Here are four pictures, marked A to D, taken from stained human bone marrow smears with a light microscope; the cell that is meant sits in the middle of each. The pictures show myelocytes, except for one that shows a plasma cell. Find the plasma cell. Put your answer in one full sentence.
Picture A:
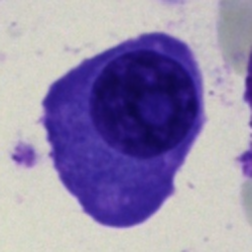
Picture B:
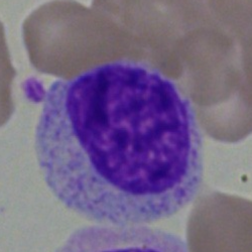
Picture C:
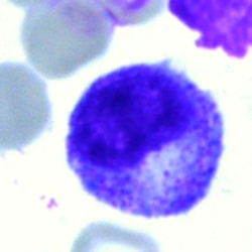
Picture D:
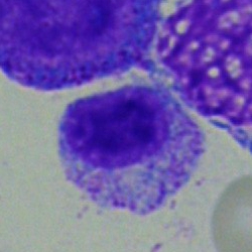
Picture A is the one that shows the plasma cell.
